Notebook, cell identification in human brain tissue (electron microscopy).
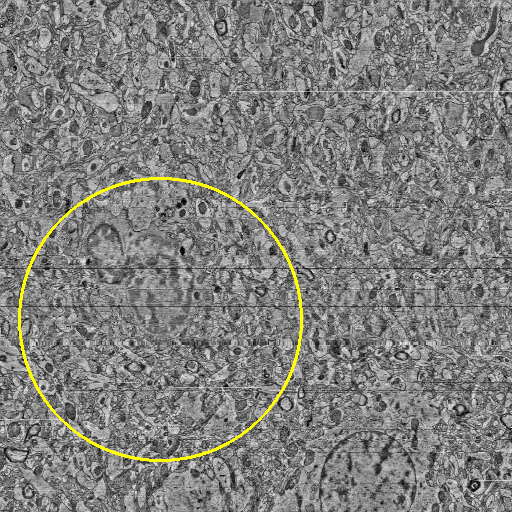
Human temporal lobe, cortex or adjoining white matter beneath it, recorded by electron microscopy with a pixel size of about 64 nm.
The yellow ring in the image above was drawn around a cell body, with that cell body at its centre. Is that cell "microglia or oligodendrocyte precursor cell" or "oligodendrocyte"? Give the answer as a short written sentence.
The cell in the ring is an oligodendrocyte.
